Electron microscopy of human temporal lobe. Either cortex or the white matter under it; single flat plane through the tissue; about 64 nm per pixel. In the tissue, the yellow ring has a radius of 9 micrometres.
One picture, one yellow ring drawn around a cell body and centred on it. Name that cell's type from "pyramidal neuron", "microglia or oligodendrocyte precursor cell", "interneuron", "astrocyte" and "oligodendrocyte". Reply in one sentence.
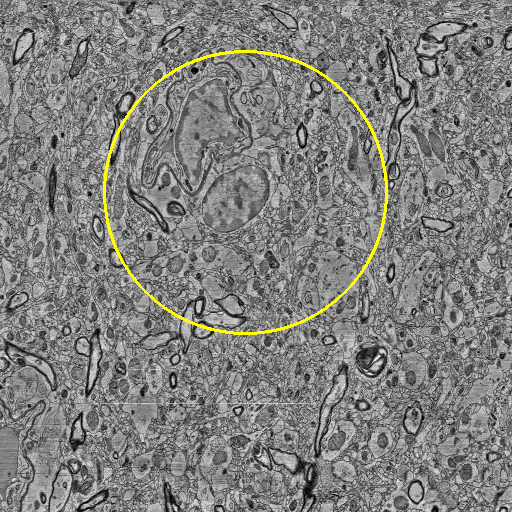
Centred in the ring is a microglial cell or oligodendrocyte precursor cell.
